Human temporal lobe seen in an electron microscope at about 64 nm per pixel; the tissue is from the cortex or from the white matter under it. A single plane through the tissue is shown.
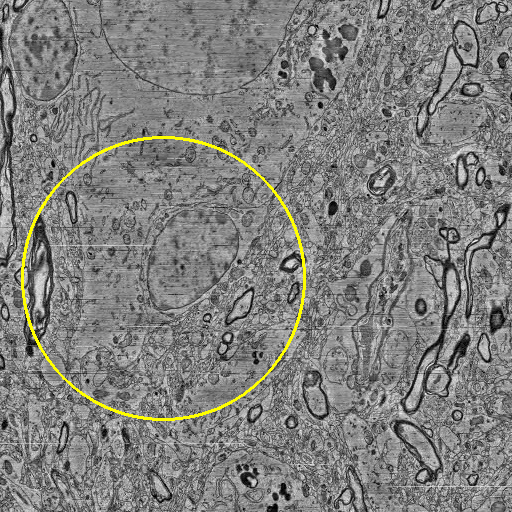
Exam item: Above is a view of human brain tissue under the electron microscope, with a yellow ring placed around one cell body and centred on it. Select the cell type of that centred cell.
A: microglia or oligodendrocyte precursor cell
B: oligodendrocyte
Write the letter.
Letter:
A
